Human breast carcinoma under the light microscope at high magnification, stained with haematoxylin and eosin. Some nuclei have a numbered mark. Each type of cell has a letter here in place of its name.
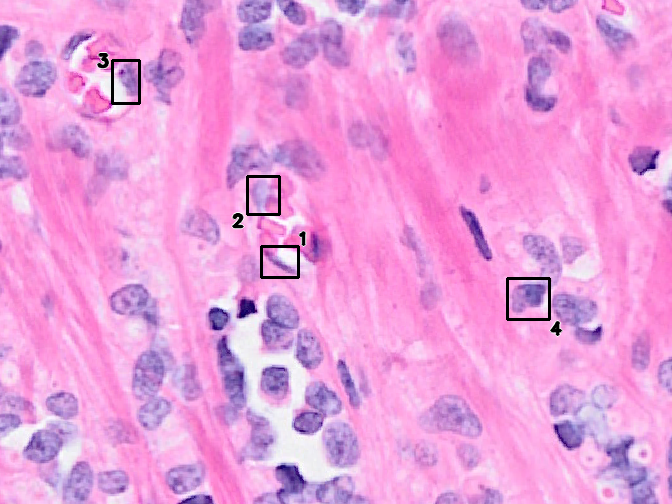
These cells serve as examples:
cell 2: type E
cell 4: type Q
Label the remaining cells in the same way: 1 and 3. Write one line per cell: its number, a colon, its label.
1: type E
3: type E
